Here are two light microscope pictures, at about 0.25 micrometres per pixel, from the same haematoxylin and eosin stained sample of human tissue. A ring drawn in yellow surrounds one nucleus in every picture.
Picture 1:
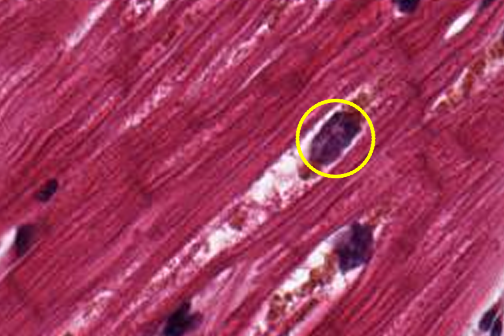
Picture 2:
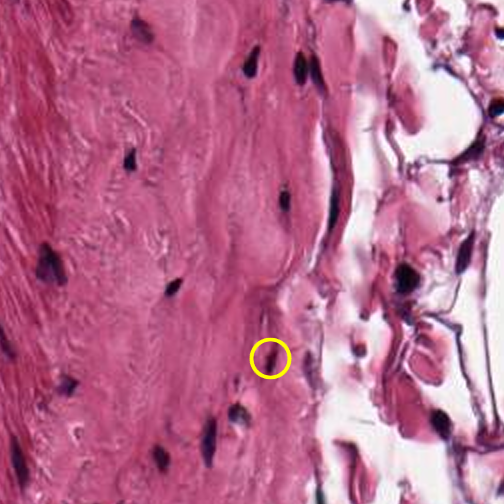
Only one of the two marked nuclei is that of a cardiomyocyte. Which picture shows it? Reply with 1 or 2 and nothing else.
1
